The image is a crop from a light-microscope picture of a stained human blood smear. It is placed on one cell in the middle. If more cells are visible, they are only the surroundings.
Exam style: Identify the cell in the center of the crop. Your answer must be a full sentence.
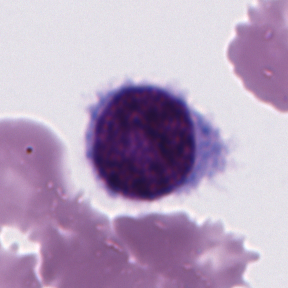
Occupying the centre of the crop is a hairy cell.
